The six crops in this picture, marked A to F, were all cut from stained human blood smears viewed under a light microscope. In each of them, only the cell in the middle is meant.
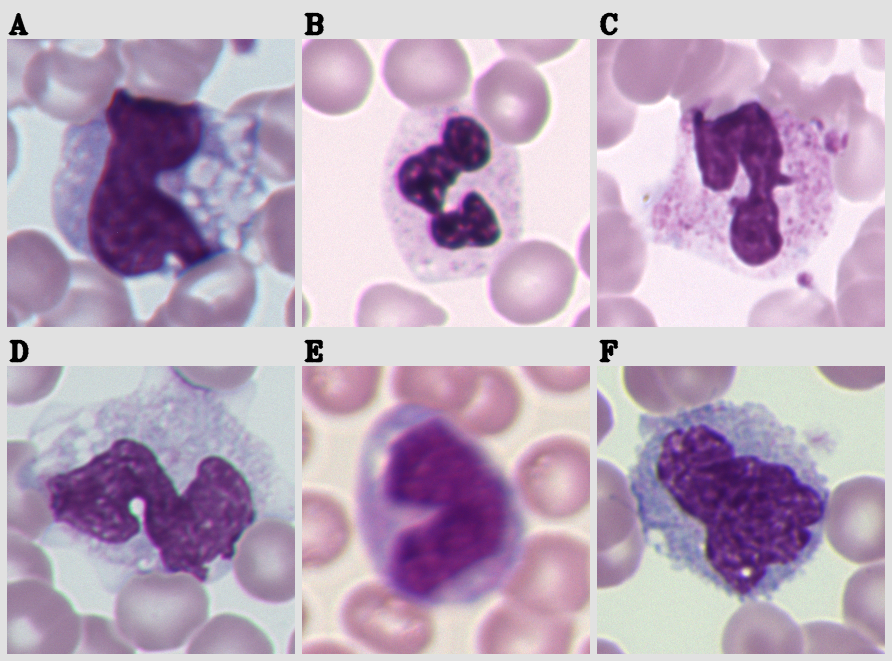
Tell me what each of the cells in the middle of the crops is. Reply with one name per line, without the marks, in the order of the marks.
monocyte
neutrophil
neutrophil
monocyte
monocyte
monocyte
